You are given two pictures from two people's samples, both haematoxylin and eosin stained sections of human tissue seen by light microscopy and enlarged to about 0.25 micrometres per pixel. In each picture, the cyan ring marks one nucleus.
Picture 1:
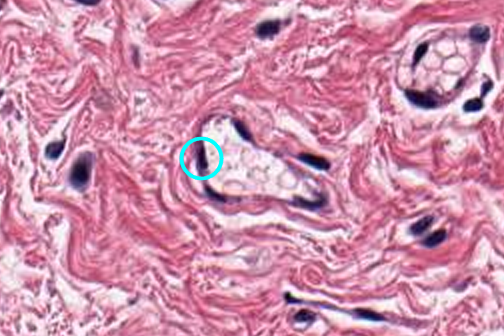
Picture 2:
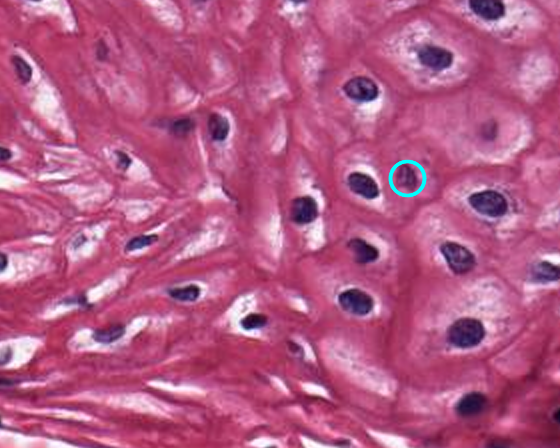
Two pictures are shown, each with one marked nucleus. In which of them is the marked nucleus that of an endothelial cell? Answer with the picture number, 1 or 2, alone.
1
